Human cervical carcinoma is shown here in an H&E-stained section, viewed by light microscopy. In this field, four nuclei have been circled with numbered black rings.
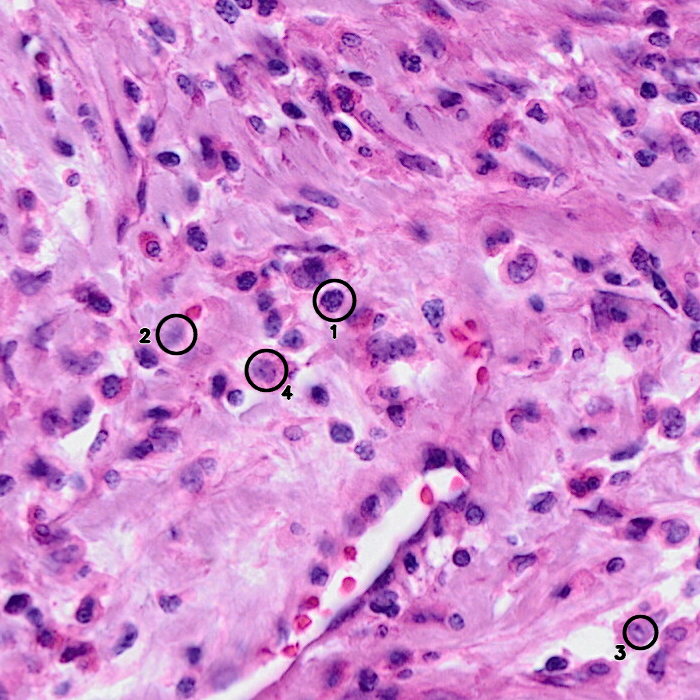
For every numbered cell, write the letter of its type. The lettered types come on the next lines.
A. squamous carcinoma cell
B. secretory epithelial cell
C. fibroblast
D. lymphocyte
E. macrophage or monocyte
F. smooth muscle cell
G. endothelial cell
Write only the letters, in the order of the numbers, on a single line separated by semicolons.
D; G; E; E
